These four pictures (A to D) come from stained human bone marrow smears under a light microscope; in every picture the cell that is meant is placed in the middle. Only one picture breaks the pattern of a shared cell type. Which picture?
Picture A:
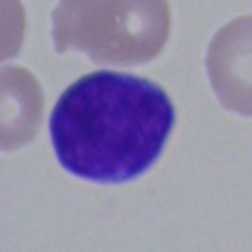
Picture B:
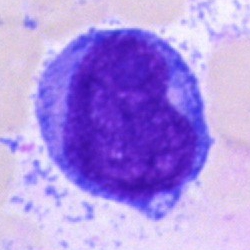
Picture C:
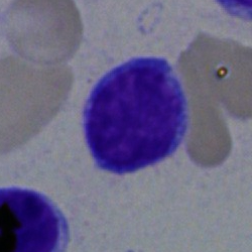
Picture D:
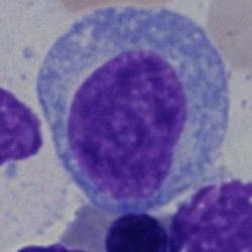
C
